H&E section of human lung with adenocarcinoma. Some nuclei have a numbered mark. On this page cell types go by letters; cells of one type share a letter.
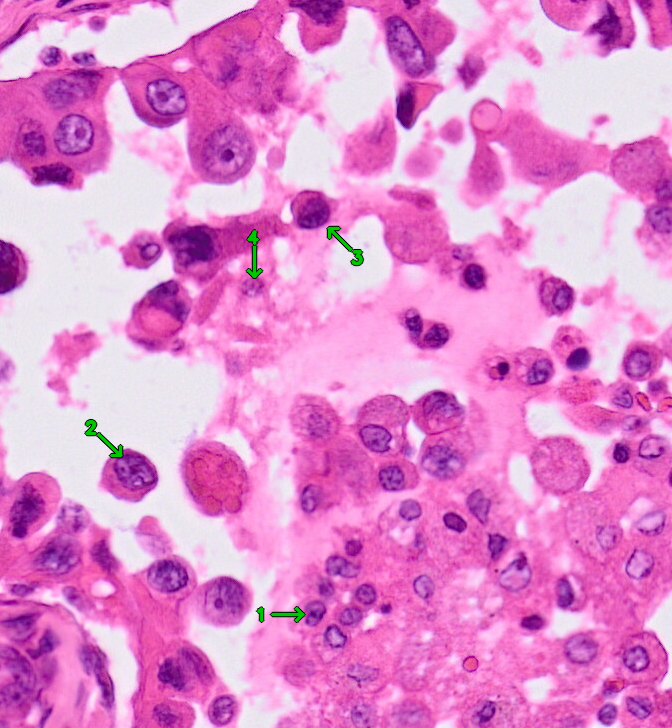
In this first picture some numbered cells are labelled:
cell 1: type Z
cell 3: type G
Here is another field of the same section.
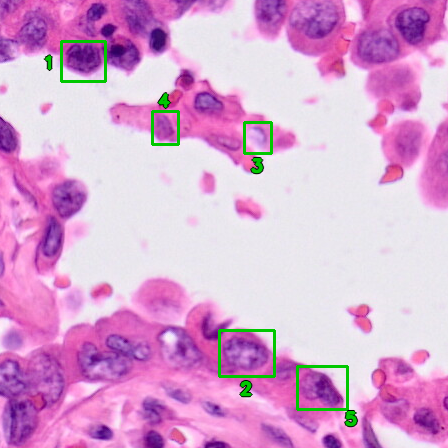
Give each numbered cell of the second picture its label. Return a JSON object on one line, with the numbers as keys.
{"1": "type G", "2": "type G", "3": "type Z", "4": "type Z", "5": "type G"}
